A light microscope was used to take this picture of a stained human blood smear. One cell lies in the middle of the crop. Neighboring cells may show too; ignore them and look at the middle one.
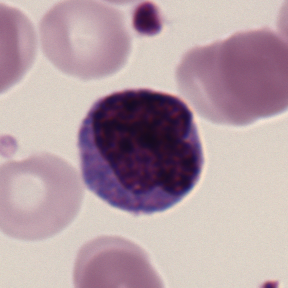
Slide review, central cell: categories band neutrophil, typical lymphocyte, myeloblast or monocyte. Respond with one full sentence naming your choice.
The crop centres on a single cell, and that cell is a monocyte.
